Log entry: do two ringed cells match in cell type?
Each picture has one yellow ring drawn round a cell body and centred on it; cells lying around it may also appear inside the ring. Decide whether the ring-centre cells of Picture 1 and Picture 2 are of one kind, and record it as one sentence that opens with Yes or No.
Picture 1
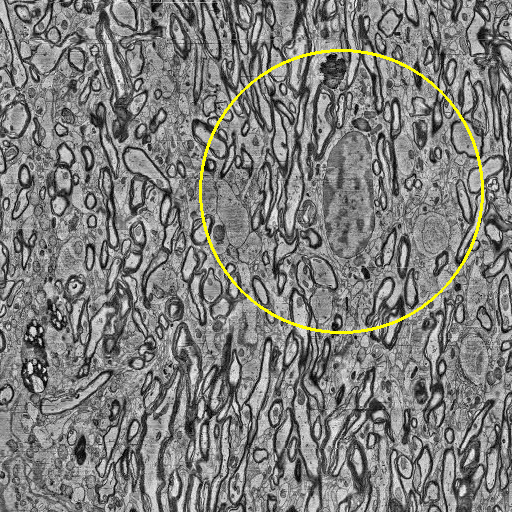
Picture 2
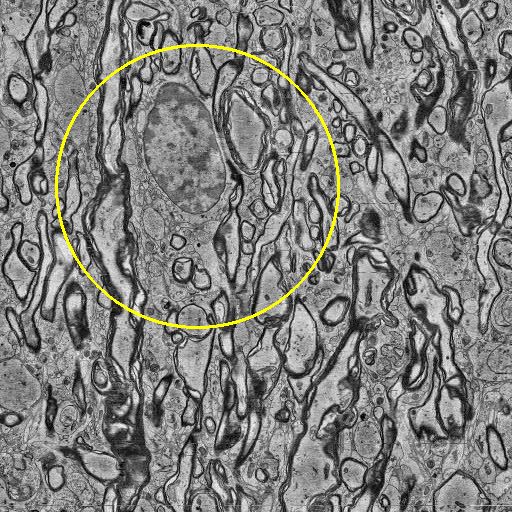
Yes, the cells at the ring centres of the two pictures belong to one kind.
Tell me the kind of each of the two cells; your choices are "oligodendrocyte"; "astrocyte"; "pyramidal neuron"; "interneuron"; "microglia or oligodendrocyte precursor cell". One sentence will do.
Both rings mark a microglial cell or oligodendrocyte precursor cell, one in each picture.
